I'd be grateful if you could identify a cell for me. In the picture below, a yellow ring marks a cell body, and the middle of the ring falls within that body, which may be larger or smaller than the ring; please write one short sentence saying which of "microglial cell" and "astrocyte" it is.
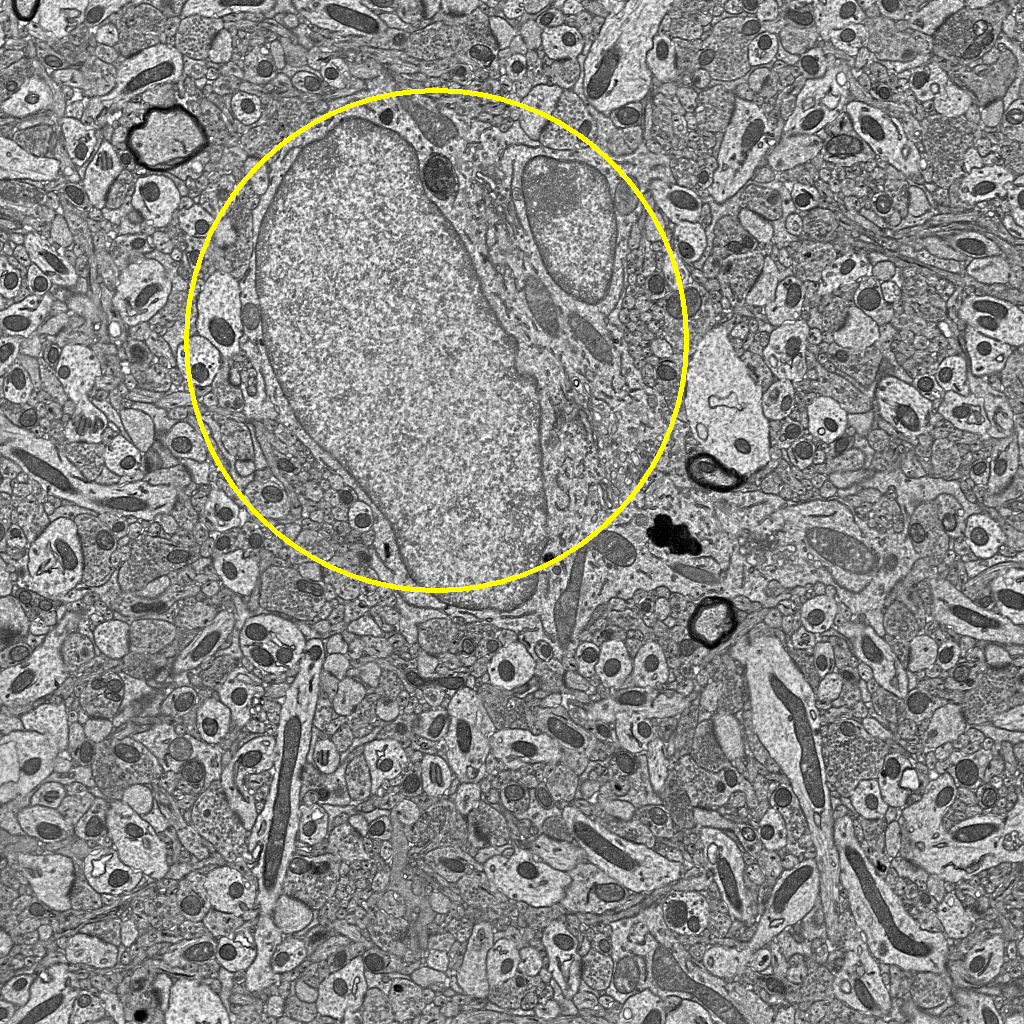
The cell under the ring's centre is an astrocyte.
